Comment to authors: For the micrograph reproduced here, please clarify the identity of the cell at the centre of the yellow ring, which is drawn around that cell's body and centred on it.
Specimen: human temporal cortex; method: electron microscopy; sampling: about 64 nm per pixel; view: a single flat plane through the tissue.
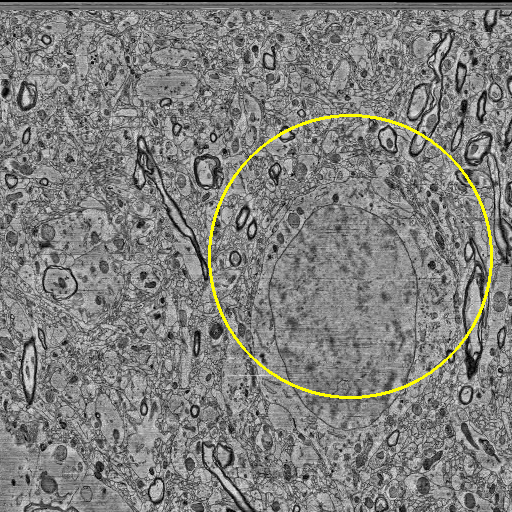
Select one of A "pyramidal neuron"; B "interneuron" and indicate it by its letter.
A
